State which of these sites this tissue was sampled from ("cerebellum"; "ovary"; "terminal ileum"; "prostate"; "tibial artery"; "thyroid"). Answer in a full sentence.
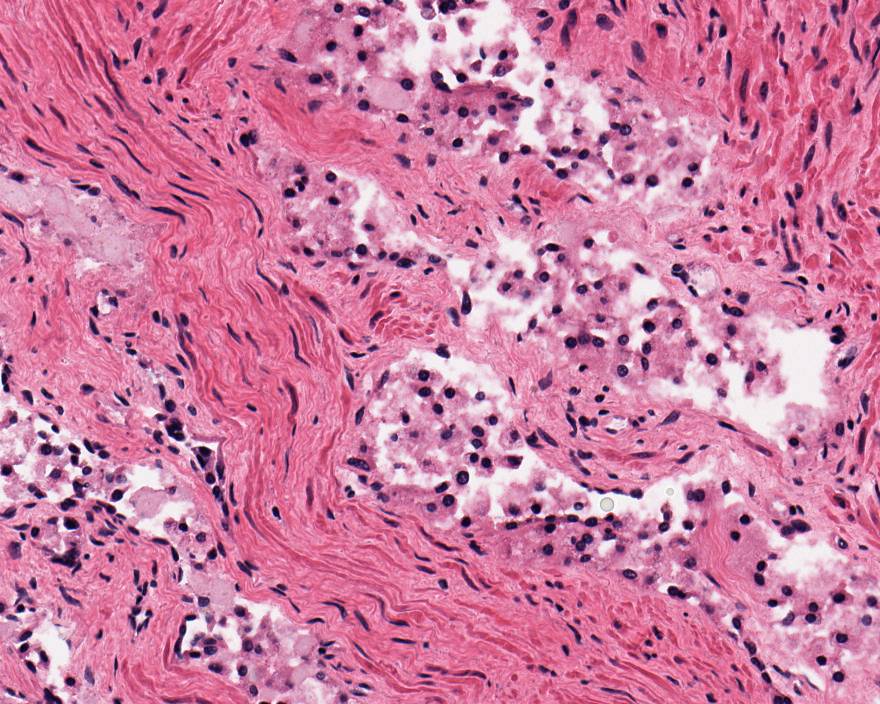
The site this tissue was sampled from is the prostate.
